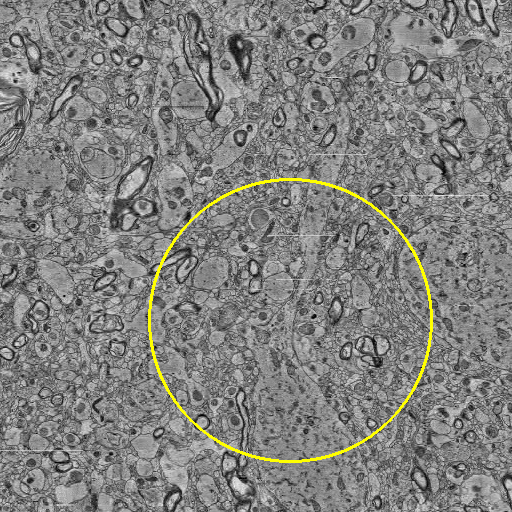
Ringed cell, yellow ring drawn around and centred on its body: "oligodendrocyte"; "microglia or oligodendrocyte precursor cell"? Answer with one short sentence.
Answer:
This ringed cell is a microglial cell or oligodendrocyte precursor cell.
